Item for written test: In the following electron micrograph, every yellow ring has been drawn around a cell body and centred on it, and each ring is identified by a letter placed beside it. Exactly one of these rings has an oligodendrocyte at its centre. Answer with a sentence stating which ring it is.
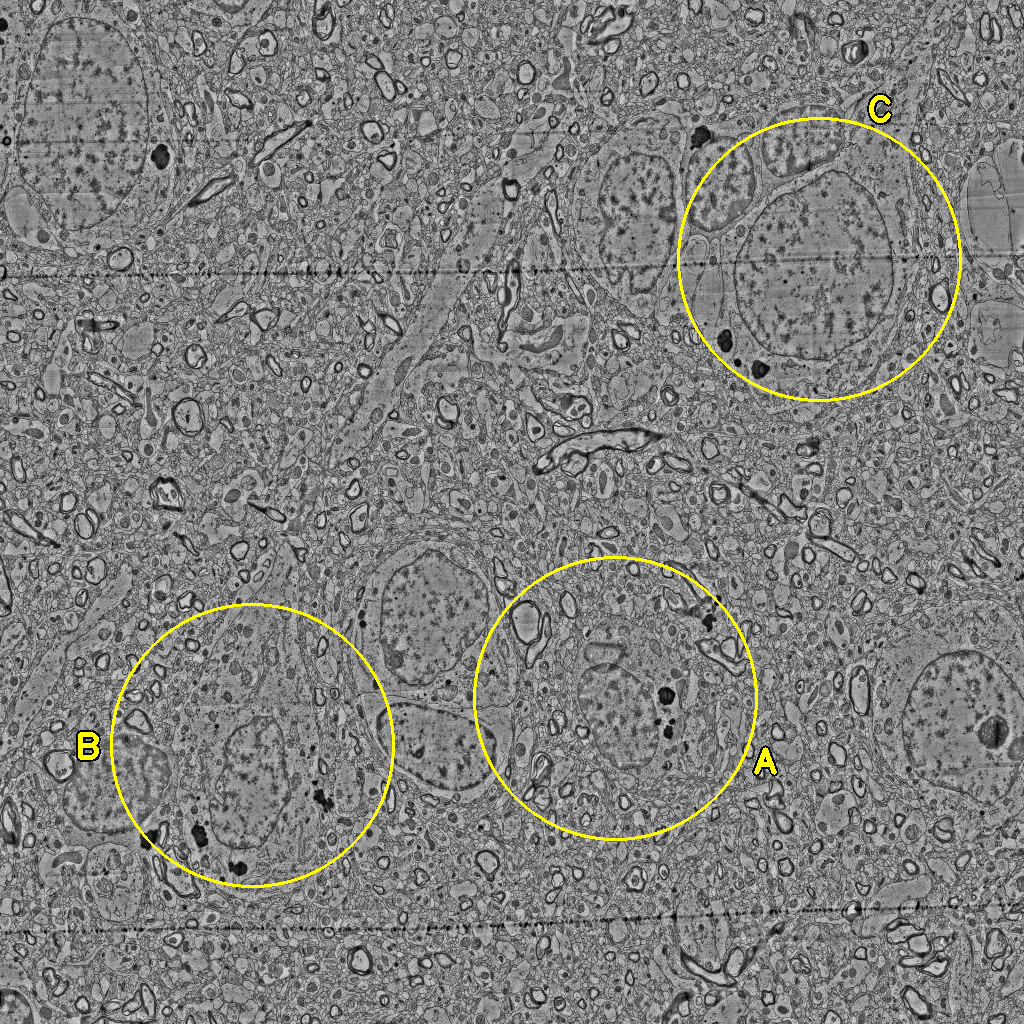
It is ring A.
